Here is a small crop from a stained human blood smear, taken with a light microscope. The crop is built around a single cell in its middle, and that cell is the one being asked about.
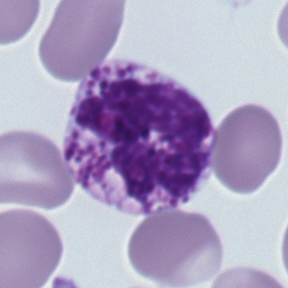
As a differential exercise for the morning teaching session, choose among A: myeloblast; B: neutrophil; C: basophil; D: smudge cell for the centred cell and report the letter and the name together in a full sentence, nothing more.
Identification: the cell in the middle is a basophil, matching option C.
